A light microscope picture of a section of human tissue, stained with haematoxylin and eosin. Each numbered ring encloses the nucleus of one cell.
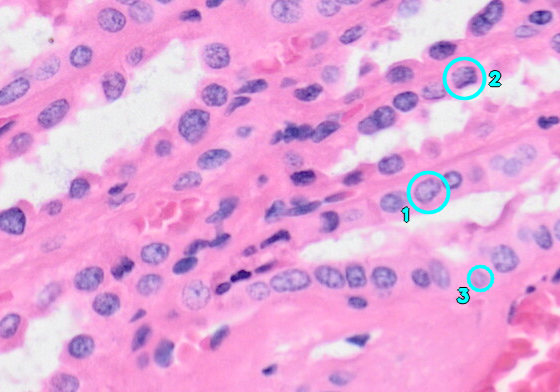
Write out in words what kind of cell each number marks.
Cells 1 and 3 are collecting duct cells. Cell 2 is a loop of Henle or distal tubule cell.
